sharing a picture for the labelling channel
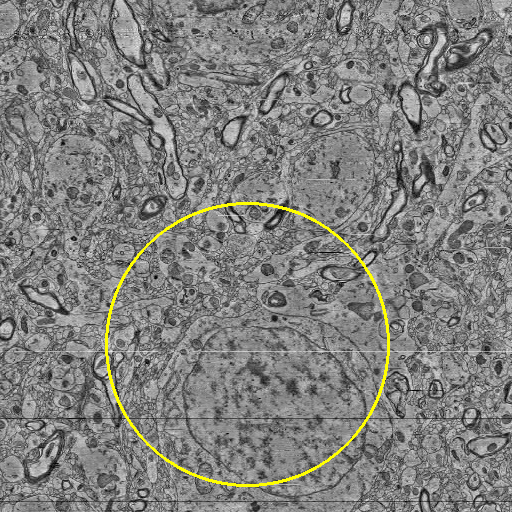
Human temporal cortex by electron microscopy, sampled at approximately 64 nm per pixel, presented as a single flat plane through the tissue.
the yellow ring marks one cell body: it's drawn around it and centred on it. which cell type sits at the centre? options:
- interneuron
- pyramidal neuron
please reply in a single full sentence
In the picture, the cell at the ring's centre is a pyramidal neuron, going by the list.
